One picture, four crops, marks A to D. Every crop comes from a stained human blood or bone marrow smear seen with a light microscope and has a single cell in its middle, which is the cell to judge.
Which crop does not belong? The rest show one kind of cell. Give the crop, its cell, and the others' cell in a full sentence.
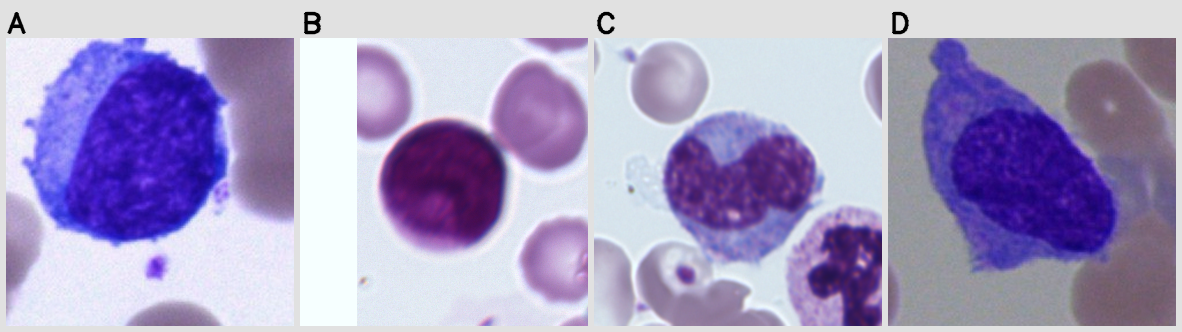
Just crop C is a monocyte; all the other crops show blasts.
